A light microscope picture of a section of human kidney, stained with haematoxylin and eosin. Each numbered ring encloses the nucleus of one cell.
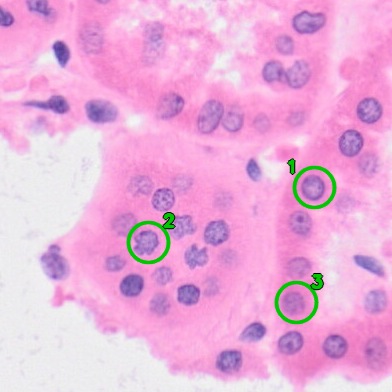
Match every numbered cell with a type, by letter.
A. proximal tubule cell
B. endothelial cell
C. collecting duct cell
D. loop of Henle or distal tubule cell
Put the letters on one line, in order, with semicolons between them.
A; D; A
